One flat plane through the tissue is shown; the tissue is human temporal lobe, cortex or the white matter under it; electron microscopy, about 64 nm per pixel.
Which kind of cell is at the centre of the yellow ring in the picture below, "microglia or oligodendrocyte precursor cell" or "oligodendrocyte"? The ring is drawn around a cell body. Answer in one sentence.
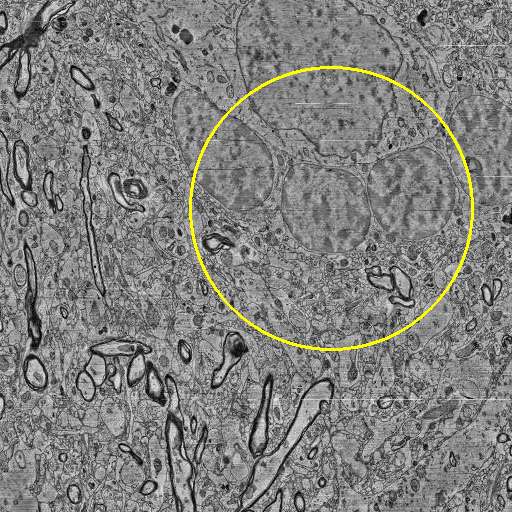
The ring's central cell is an oligodendrocyte.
